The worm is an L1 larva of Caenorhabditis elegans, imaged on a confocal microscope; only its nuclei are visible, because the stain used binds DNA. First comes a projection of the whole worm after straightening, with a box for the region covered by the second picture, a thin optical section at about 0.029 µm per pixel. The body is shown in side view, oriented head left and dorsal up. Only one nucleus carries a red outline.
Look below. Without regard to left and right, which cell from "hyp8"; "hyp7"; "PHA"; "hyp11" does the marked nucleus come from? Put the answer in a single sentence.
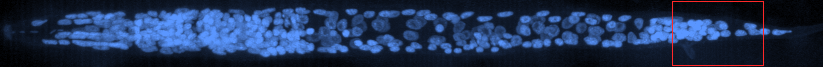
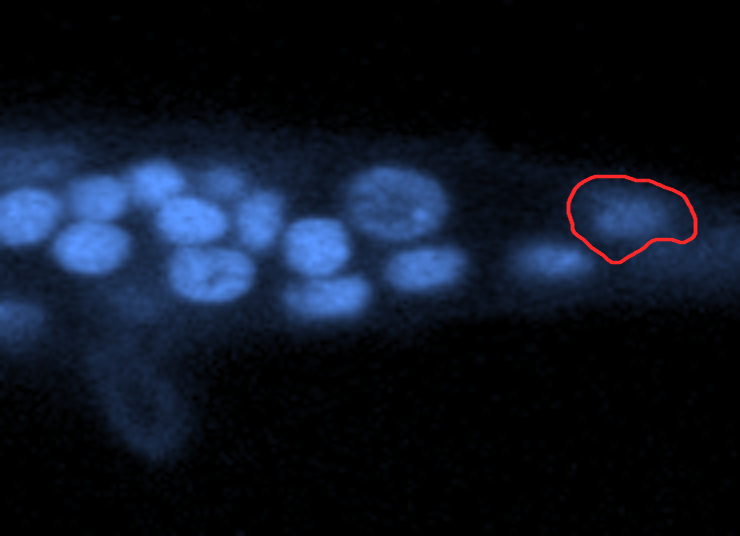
It belongs to hyp11, a hypodermal cell (hyp).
